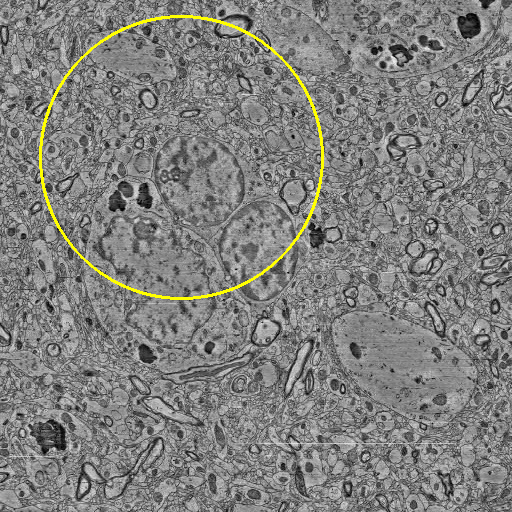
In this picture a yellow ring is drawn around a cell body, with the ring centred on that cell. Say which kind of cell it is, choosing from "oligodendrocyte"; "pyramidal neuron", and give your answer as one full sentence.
Here it is an oligodendrocyte that sits at the centre of the drawn yellow ring.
